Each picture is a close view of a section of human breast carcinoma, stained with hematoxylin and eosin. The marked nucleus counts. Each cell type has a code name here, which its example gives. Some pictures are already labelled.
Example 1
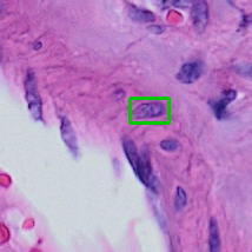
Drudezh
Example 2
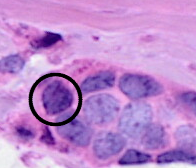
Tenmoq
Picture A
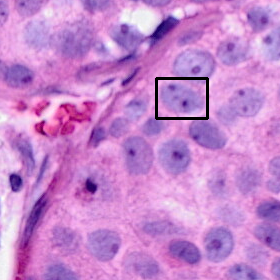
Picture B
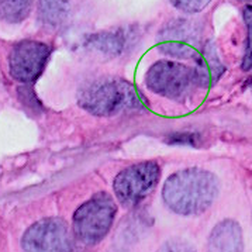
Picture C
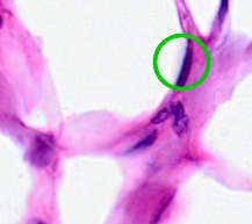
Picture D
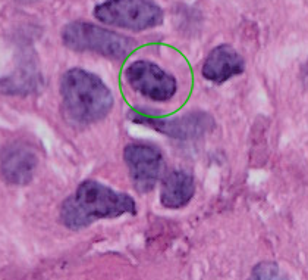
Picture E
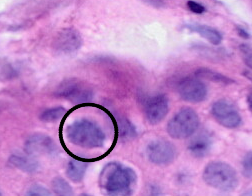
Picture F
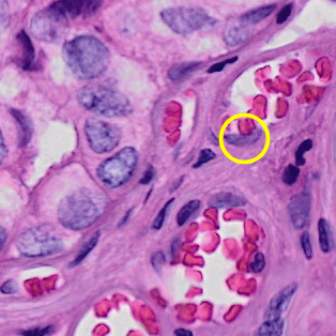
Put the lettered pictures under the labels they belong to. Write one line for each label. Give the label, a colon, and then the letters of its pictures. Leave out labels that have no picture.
Drudezh: C, F
Tenmoq: A, B, D, E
